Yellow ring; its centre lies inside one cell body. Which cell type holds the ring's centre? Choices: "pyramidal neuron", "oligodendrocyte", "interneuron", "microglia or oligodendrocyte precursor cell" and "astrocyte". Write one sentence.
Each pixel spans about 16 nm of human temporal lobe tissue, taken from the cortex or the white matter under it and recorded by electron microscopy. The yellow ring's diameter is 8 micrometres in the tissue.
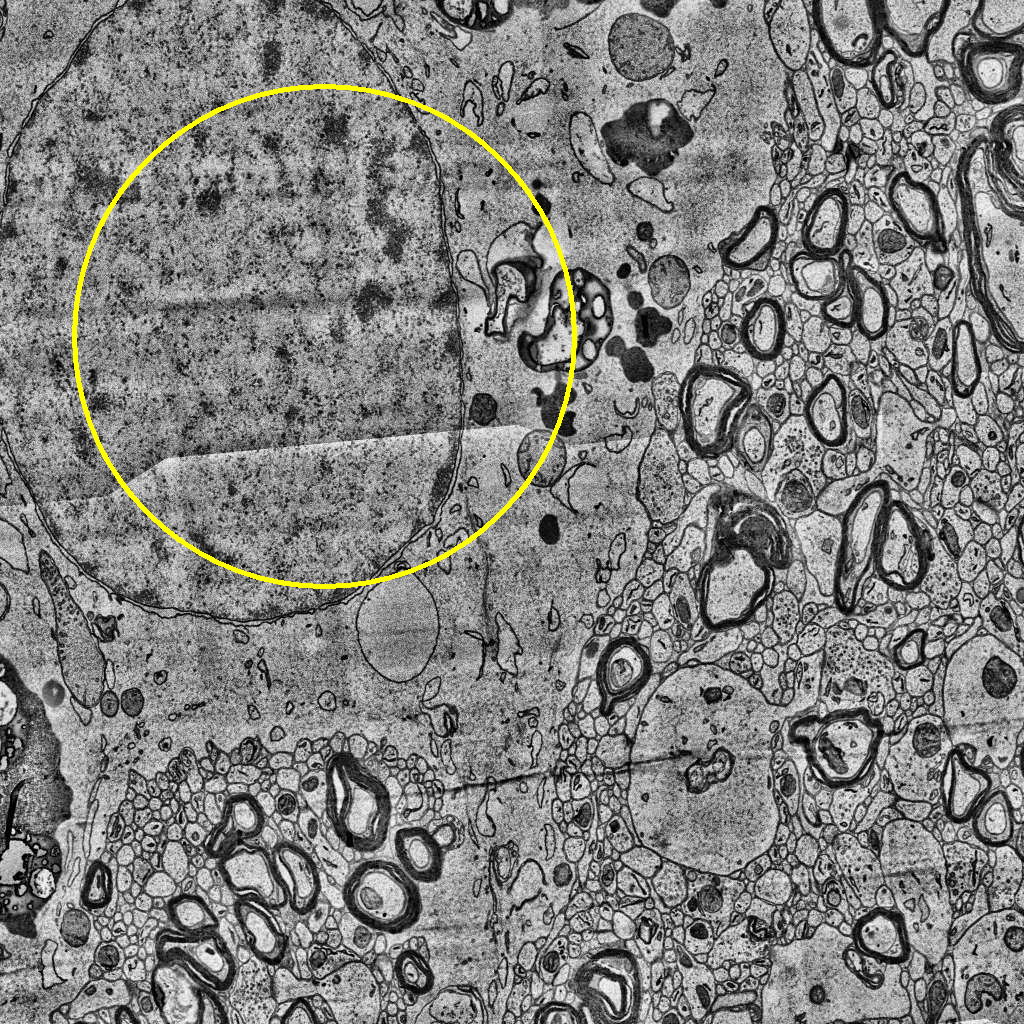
At the centre of the ring sits an astrocyte.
